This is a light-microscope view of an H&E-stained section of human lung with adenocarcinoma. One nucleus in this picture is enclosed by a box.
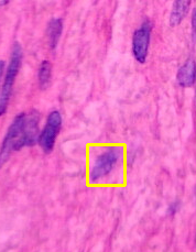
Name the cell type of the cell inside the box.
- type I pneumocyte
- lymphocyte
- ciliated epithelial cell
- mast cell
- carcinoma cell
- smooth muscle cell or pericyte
smooth muscle cell or pericyte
